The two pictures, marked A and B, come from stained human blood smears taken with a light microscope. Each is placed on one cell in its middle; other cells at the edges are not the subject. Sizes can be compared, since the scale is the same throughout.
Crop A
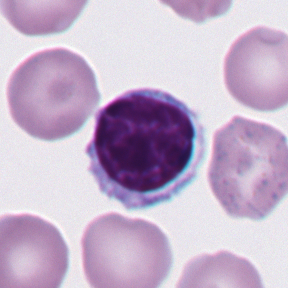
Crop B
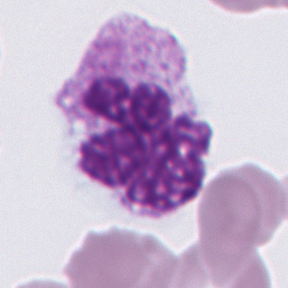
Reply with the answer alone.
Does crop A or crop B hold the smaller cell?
A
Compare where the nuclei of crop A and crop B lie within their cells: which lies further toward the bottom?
B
